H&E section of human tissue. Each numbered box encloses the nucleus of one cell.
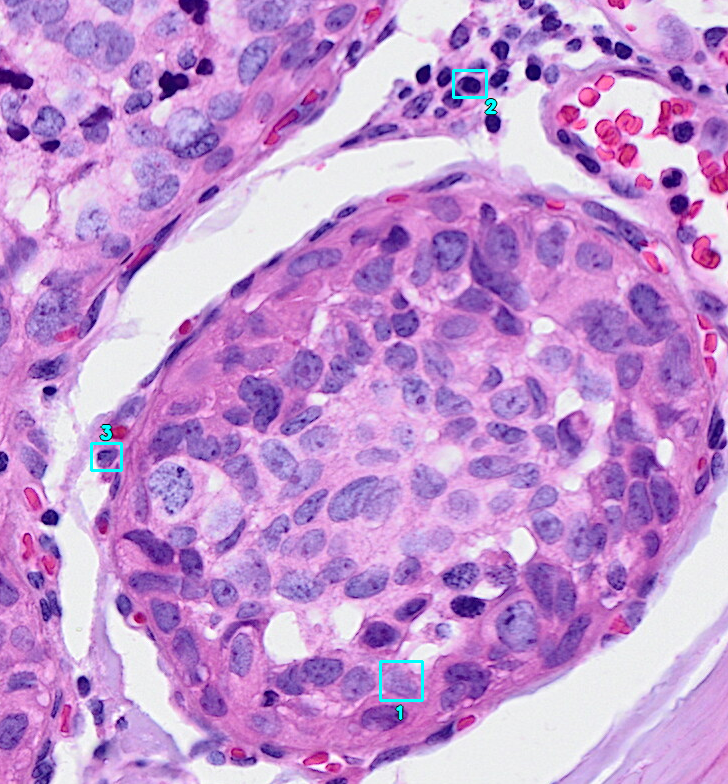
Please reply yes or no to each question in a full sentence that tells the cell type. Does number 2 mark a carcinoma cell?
No, number 2 marks a lymphocyte rather than a carcinoma cell.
